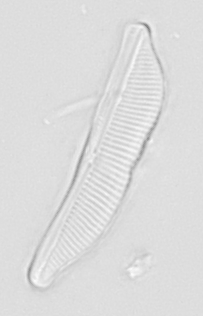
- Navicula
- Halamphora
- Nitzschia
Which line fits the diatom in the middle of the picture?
Halamphora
